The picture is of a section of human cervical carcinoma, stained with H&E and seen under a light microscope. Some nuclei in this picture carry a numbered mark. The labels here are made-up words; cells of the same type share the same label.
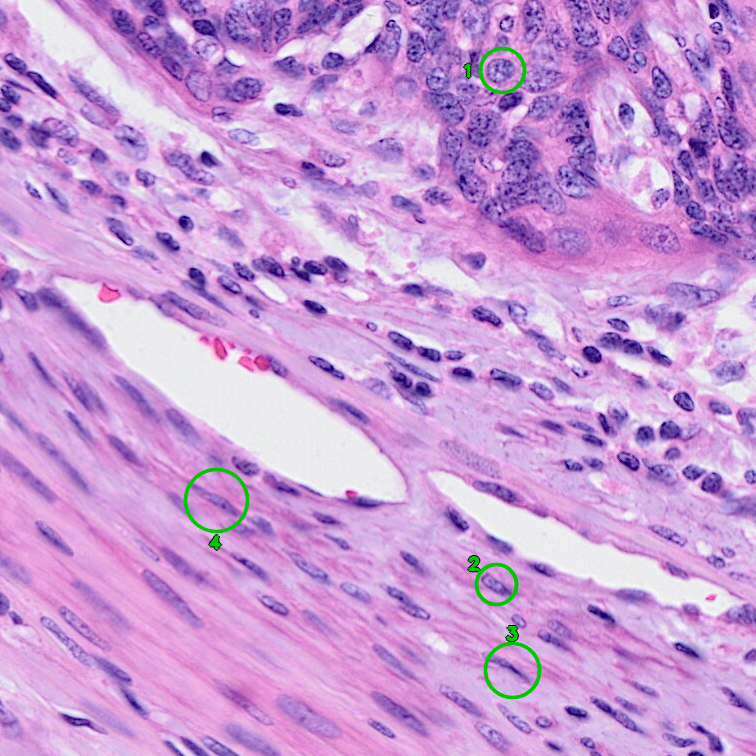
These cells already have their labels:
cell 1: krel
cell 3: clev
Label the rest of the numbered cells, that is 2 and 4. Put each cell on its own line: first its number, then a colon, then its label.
2: clev
4: clev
